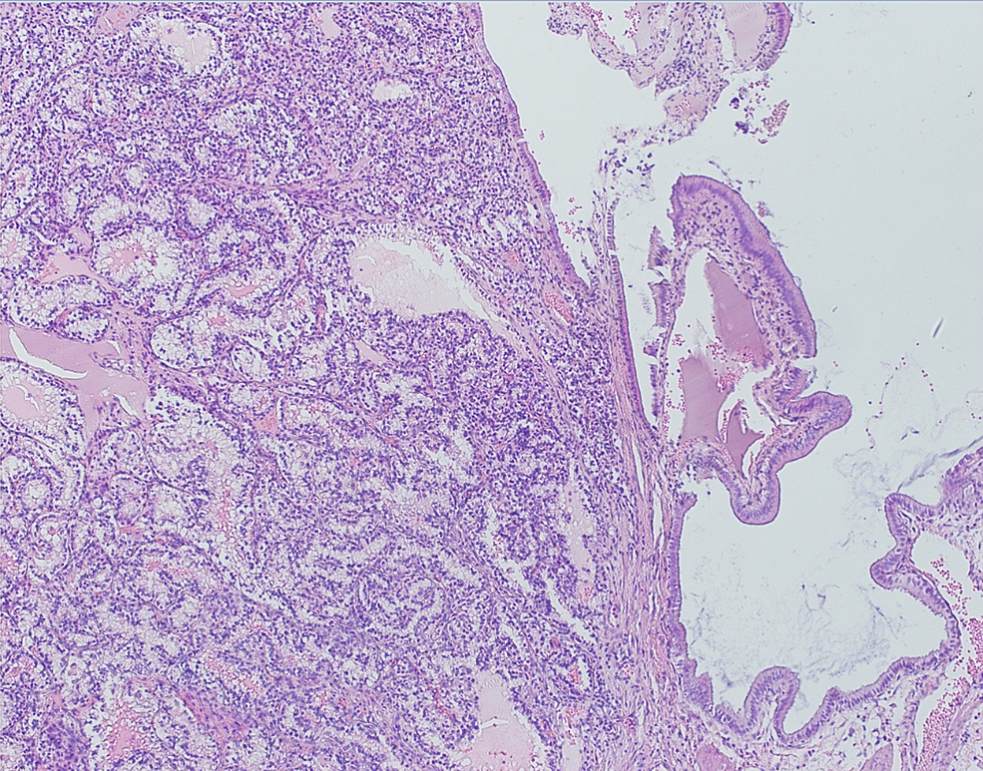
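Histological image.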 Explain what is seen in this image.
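This is a section of gallbladder wall. On the right, folded mucosa is lined by a single row of tall columnar epithelial cells, with basal nuclei, over a thin core of stroma, and it faces an empty lumen. A narrow band of fibromuscular tissue separates this mucosa from the left part of the field. The left part is filled by nests and acini of tumor cells with clear, pale cytoplasm and crisp cell membranes. Delicate fibrovascular septa run between the nests. Pools of pink proteinaceous fluid and red blood cells lie among the tumor nests.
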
